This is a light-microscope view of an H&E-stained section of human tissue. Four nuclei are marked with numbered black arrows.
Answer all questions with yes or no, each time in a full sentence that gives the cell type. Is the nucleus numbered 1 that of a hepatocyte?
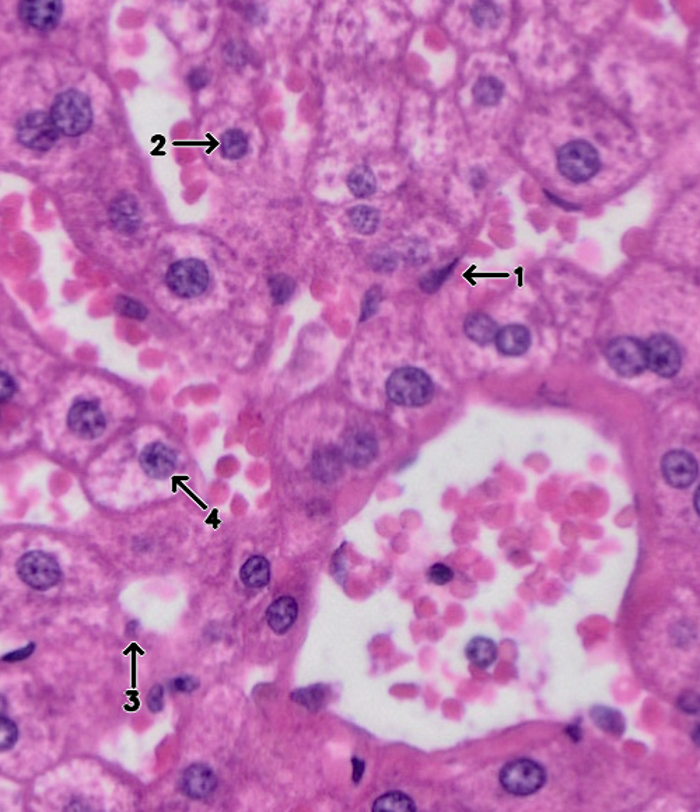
No, cell 1 is not a hepatocyte: it is a fibroblast or stellate cell.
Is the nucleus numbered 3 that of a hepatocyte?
No, for cell 3, the correct identification is a Kupffer cell instead of a hepatocyte.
